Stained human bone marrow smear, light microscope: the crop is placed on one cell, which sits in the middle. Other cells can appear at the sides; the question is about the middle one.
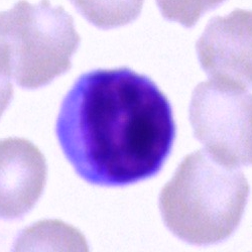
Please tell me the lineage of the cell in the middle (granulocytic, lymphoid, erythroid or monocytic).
lymphoid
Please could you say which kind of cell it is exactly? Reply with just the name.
lymphocyte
